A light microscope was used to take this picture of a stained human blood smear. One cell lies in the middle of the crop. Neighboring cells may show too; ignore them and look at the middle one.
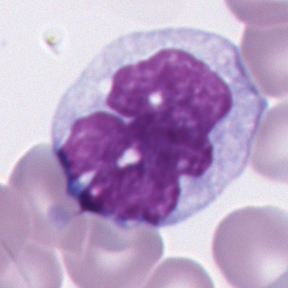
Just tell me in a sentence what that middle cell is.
Framed in the middle of the crop is a monocyte.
